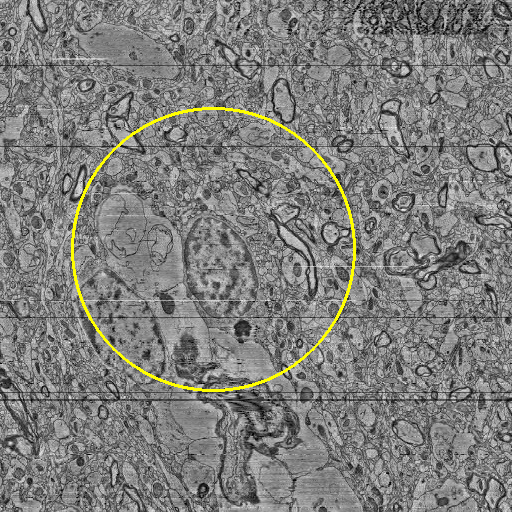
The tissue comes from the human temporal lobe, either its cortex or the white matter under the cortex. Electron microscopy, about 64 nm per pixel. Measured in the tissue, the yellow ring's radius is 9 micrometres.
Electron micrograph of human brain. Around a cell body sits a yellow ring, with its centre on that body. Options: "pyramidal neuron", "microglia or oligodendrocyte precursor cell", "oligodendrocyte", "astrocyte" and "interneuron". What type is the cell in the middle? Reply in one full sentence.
The cell sitting at the centre of the yellow ring is an oligodendrocyte.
